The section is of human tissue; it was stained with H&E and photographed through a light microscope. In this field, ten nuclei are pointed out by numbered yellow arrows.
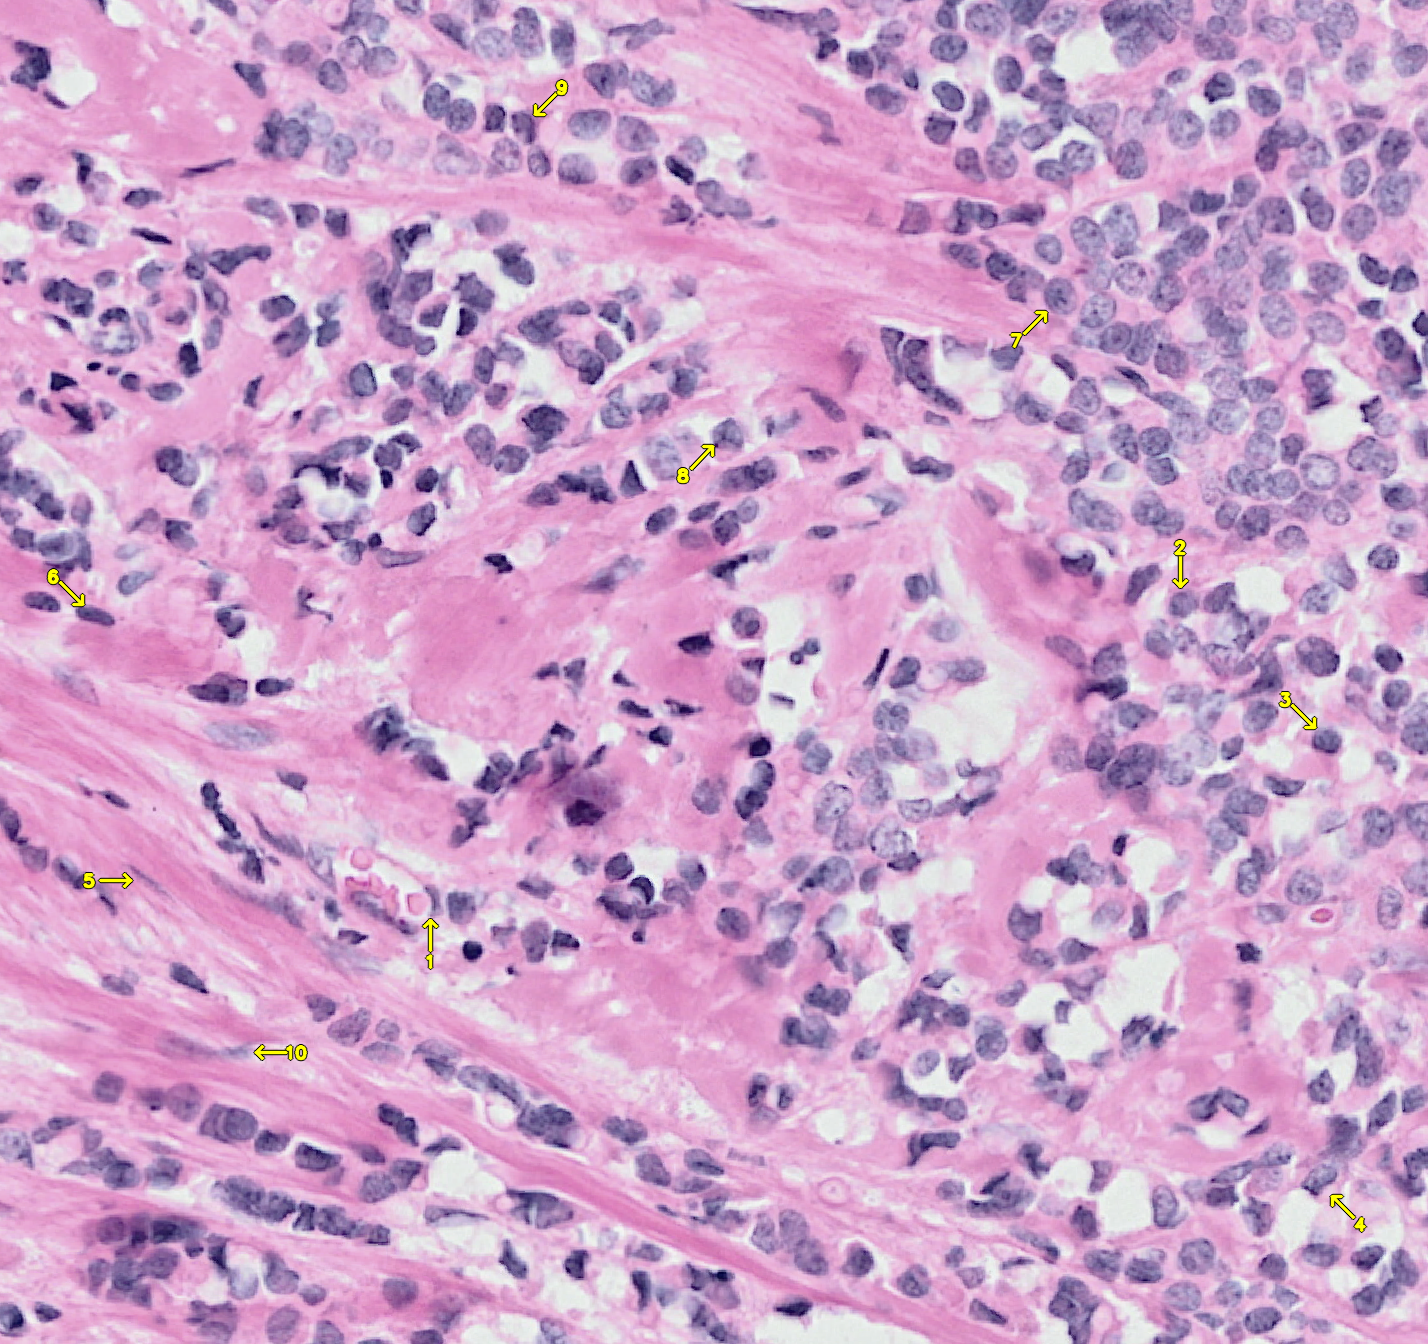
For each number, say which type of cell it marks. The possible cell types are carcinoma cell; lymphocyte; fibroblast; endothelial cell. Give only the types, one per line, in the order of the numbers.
endothelial cell
carcinoma cell
carcinoma cell
carcinoma cell
fibroblast
lymphocyte
carcinoma cell
carcinoma cell
carcinoma cell
fibroblast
